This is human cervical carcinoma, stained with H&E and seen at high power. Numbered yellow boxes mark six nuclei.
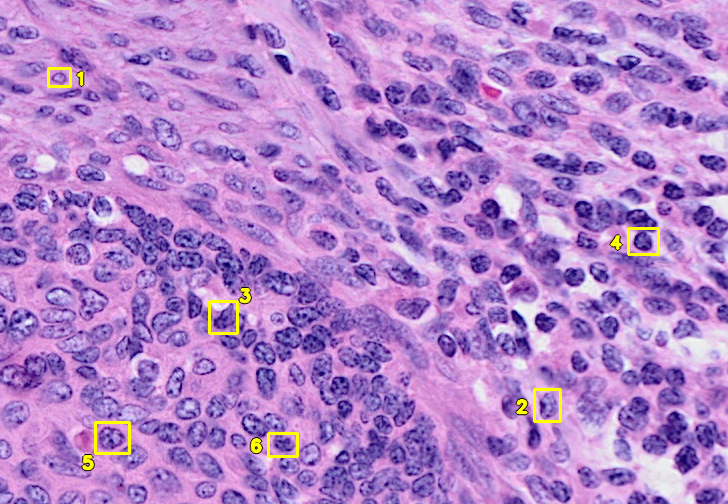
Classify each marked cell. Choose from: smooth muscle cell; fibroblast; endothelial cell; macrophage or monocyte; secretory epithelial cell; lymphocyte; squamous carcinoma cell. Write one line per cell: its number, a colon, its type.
1: smooth muscle cell
2: lymphocyte
3: squamous carcinoma cell
4: lymphocyte
5: squamous carcinoma cell
6: squamous carcinoma cell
